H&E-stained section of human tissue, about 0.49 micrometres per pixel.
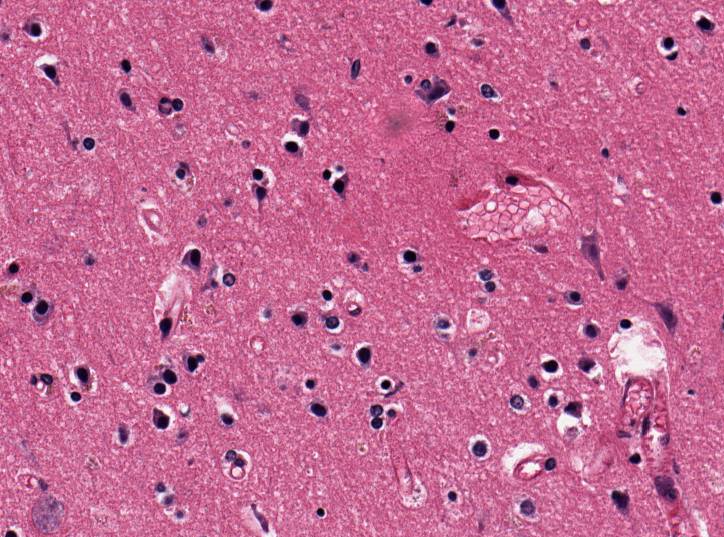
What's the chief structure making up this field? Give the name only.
cerebral cortex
